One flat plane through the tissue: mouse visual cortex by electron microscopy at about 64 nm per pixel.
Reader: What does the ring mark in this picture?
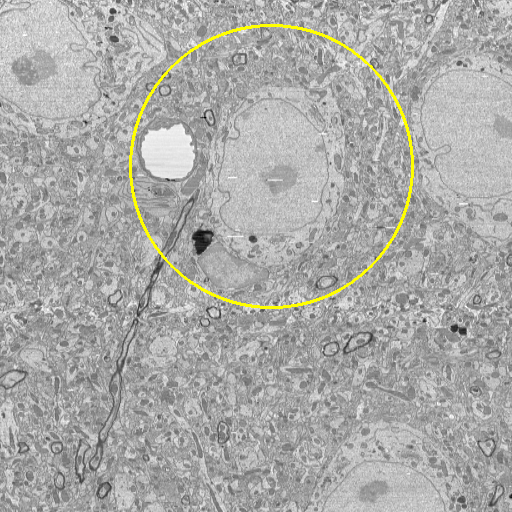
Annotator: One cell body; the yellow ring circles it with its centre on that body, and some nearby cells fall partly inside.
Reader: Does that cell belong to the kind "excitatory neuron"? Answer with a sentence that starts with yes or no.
Yes, in this picture the ringed cell at the centre belongs to that kind.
